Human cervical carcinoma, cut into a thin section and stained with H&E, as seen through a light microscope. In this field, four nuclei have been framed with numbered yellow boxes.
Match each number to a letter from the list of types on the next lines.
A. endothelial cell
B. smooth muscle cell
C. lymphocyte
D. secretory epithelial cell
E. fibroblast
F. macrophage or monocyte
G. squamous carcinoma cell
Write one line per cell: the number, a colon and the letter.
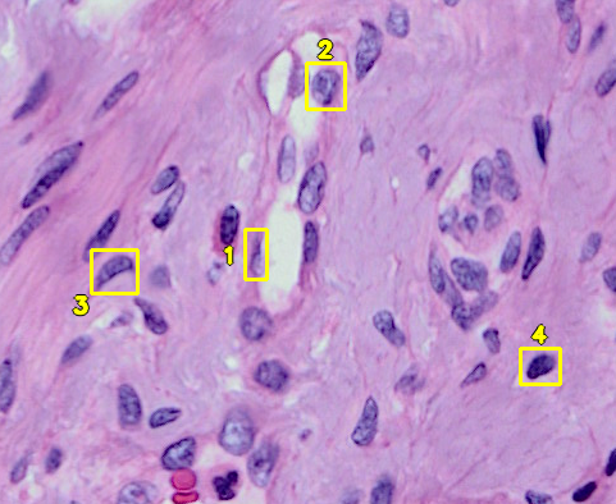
1: A
2: A
3: E
4: C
